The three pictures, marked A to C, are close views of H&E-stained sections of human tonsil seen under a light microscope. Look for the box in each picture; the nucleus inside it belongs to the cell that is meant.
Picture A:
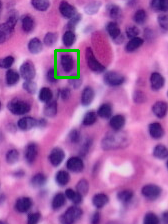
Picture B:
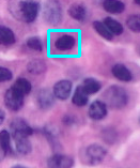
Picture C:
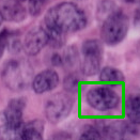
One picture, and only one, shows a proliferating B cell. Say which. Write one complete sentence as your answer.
The proliferating B cell is the one in picture C.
